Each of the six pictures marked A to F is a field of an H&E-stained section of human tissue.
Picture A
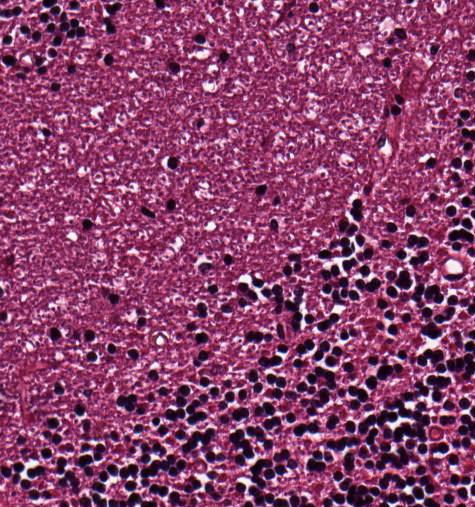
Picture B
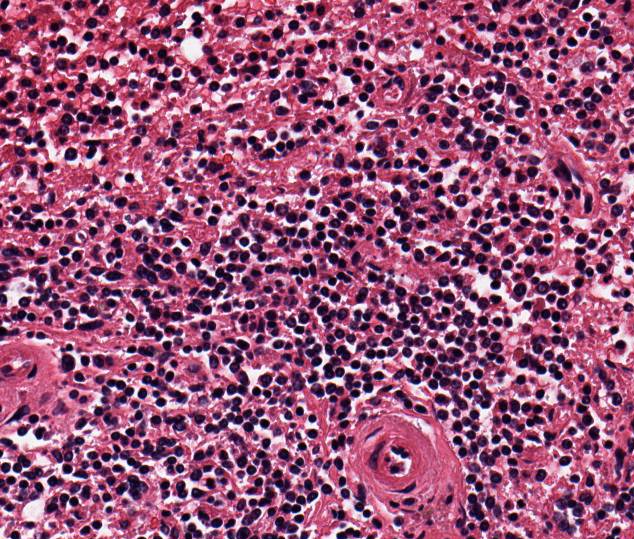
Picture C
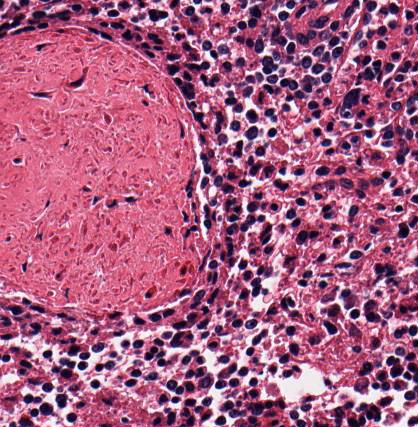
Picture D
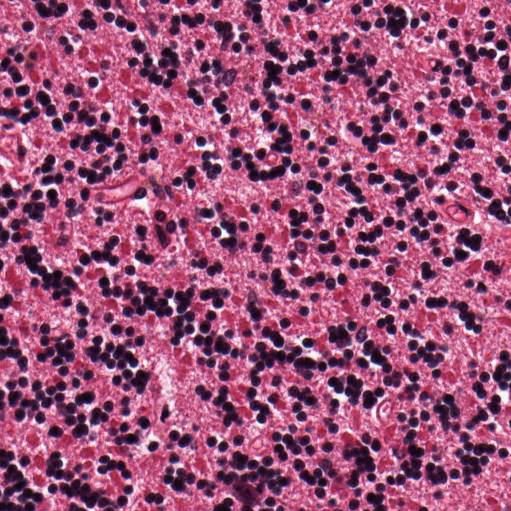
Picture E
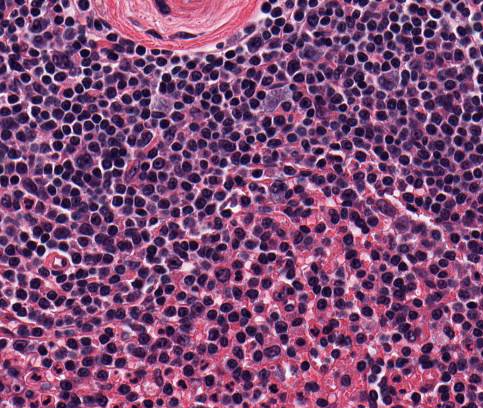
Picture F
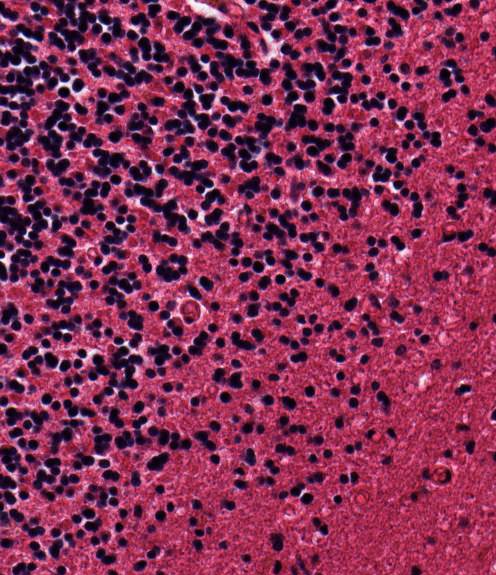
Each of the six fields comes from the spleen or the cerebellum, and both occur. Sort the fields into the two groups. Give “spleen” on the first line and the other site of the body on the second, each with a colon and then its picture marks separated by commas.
spleen: B, C, E
cerebellum: A, D, F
